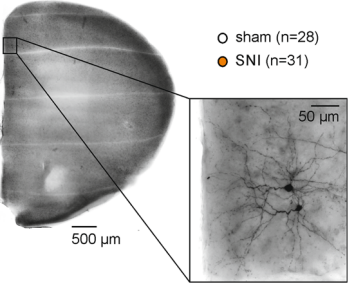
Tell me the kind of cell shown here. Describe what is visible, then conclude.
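Neurons. Two dark-stained cell bodies lie in the enlarged inset. Thin branching processes spread out from each cell body.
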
